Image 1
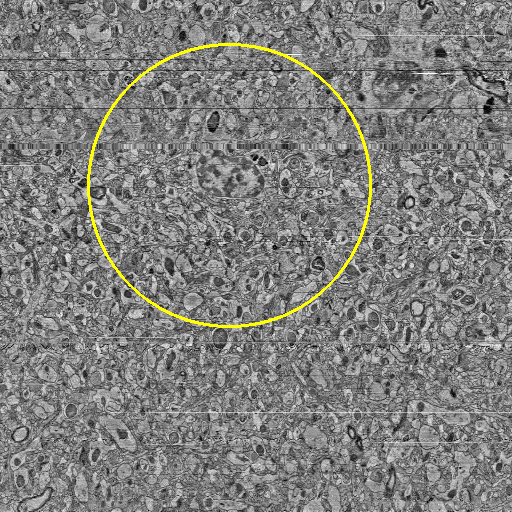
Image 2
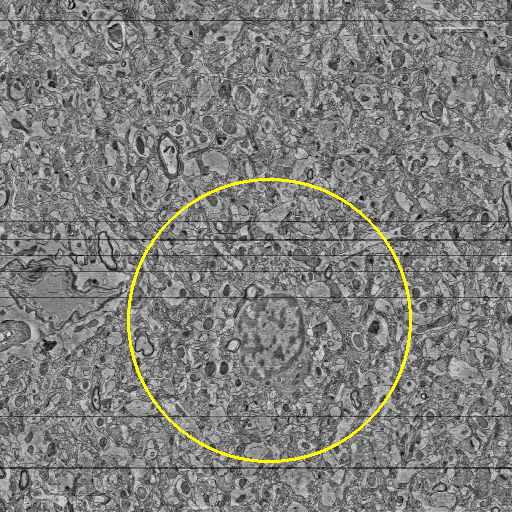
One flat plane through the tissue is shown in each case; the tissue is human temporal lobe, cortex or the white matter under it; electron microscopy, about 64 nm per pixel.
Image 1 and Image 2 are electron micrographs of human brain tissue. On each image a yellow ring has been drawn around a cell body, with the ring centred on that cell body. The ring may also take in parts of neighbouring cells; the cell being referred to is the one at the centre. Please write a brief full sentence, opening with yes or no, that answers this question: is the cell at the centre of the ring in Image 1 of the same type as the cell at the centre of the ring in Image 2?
No, the two cells are of two types.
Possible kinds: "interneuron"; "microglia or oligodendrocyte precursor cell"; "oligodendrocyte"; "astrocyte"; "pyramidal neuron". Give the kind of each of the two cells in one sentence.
The cell in the second picture is an oligodendrocyte, and that in the first is a microglial cell or oligodendrocyte precursor cell.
